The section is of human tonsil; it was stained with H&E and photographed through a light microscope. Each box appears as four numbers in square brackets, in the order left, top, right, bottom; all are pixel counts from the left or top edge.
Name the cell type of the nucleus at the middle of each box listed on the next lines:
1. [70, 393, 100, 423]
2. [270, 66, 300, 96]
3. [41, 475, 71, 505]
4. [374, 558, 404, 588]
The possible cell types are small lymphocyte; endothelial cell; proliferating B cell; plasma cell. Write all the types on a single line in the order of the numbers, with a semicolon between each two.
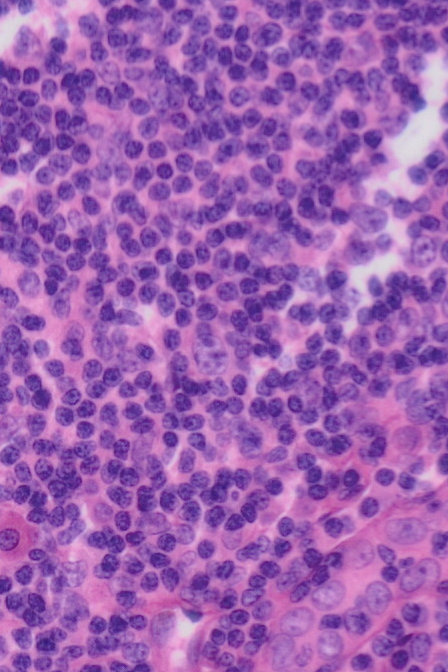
small lymphocyte; small lymphocyte; small lymphocyte; endothelial cell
